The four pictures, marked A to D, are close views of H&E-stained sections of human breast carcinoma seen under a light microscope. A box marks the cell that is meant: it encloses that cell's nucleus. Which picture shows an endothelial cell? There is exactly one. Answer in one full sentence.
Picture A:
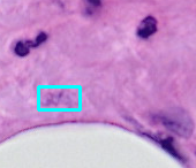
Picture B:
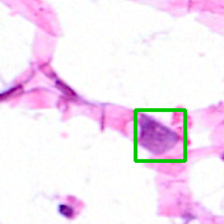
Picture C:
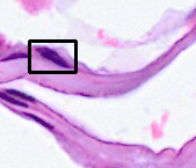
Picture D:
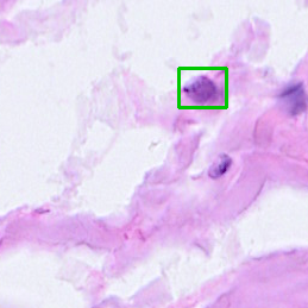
It is picture B that shows the endothelial cell.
